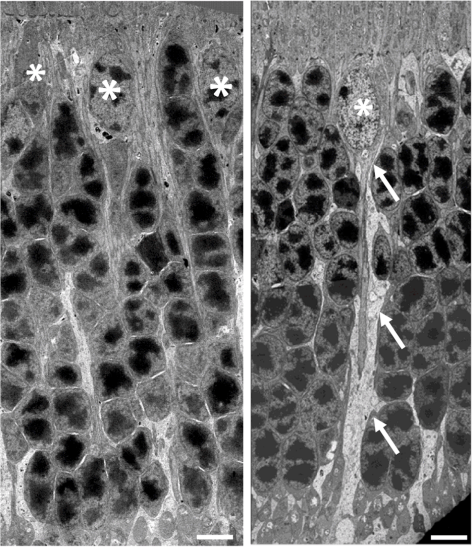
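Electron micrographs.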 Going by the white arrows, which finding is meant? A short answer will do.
Swelling of the lower fiber.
